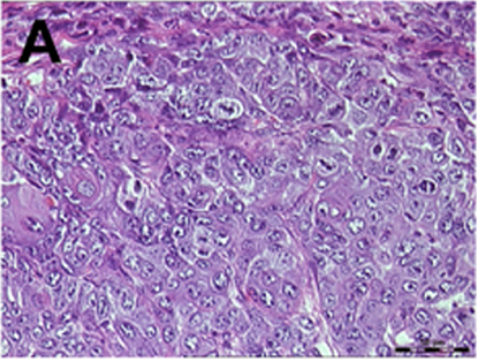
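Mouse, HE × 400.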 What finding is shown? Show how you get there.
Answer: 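Irregular nuclei. Nuclei vary in size and shape from cell to cell. Many nuclei have prominent nucleoli and uneven outlines.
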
